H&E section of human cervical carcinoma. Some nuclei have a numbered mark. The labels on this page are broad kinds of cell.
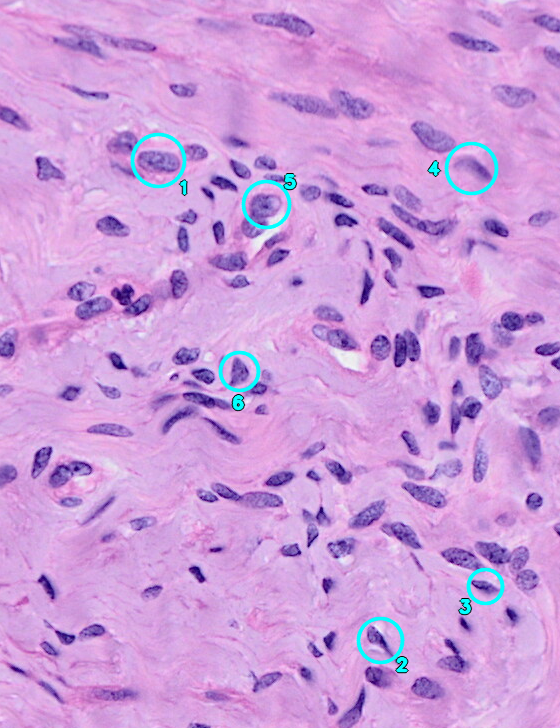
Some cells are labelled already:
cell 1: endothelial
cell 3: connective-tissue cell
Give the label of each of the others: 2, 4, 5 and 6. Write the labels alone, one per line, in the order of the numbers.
connective-tissue cell
connective-tissue cell
endothelial
connective-tissue cell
